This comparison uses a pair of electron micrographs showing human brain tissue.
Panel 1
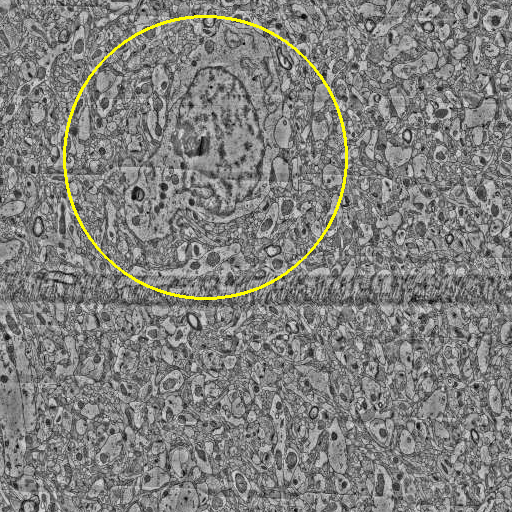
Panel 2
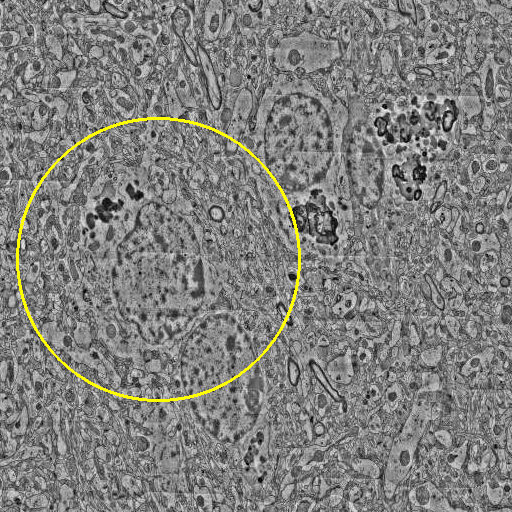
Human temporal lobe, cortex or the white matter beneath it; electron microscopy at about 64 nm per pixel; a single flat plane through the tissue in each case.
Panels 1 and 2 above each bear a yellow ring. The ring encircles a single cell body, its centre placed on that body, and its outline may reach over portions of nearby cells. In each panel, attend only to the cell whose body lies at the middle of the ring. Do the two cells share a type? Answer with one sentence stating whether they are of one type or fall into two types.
In Panel 1 and Panel 2, the cells at the centres of the rings fall into two types.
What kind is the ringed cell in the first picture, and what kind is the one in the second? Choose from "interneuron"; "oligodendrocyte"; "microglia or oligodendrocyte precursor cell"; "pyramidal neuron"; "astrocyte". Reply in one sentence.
The first cell is an interneuron; the second is an astrocyte.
